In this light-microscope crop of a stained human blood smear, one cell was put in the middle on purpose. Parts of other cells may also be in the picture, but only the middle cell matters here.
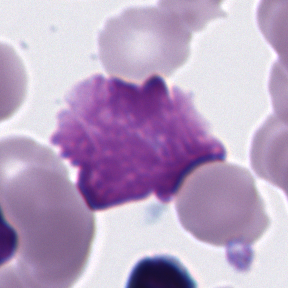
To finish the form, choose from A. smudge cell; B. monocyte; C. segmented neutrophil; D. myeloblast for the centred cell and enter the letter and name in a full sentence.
Answer key: option A, the middle cell being a smudge cell.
